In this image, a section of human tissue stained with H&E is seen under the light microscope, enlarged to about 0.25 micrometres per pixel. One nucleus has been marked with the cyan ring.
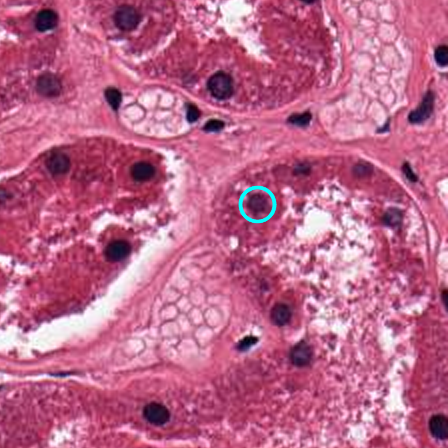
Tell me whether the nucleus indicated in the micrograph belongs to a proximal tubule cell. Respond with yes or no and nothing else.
yes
